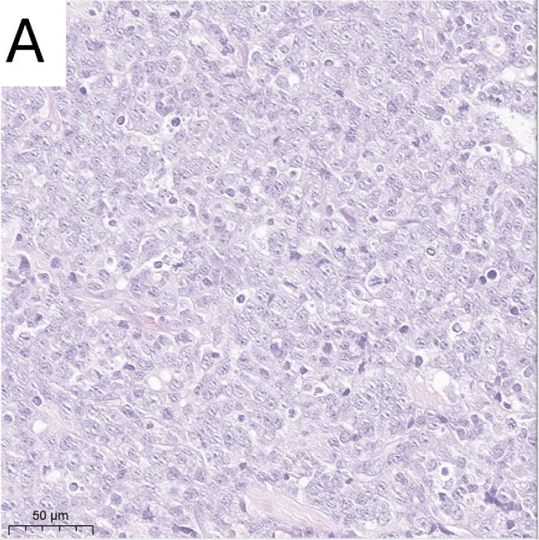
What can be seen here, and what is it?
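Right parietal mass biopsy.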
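This tissue is diffusely infiltrated by medium to large lymphocytes growing in a dense sheet. The cells are crowded and fairly uniform, with round to oval nuclei that are larger than those of small lymphocytes, fine to vesicular chromatin and some visible nucleoli, and a modest rim of pale cytoplasm. No normal tissue structure is recognisable in the field; the sheet is interrupted only by a few thin pink strands and small clear spaces. Occasional cells have darker, more condensed nuclei scattered among the others.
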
